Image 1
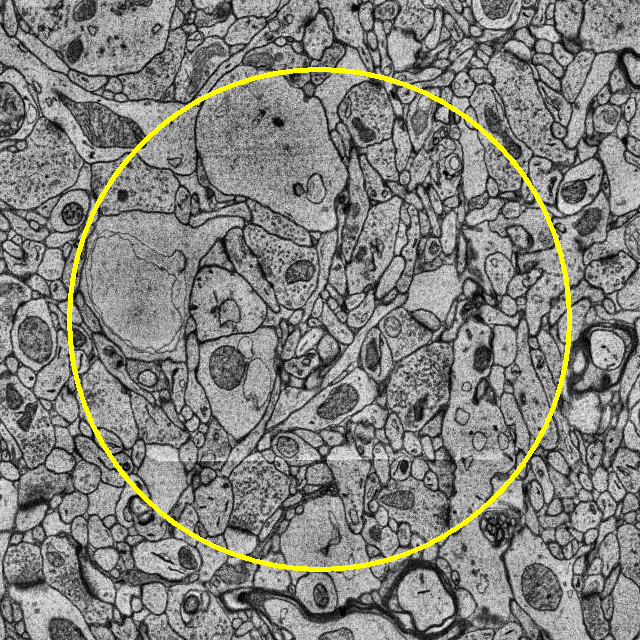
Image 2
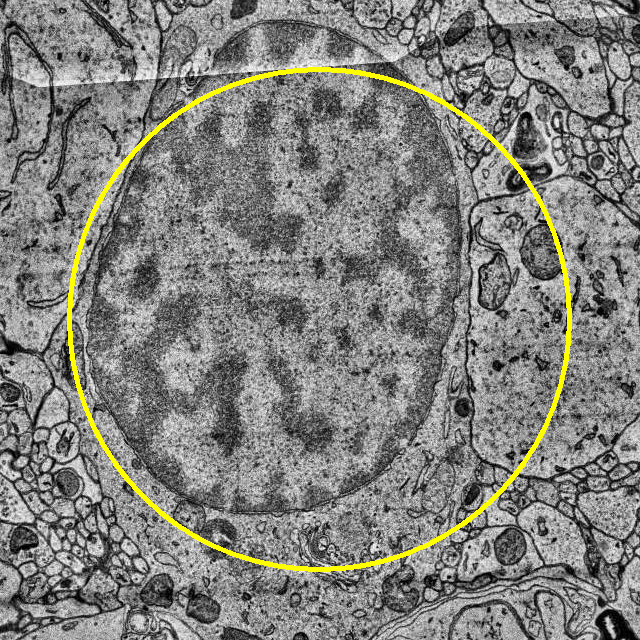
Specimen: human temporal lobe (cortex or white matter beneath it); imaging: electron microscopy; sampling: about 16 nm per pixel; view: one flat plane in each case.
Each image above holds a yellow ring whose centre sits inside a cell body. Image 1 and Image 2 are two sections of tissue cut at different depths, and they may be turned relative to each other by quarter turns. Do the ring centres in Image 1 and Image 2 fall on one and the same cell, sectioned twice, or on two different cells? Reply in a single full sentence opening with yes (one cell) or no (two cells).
No, the two marked cells are different cells.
